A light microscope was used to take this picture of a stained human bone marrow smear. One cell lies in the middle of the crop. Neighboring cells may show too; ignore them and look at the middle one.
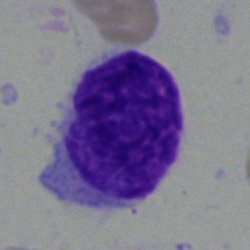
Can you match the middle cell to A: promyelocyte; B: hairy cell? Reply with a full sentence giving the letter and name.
The cell in the middle is a hairy cell, and that makes option B correct.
